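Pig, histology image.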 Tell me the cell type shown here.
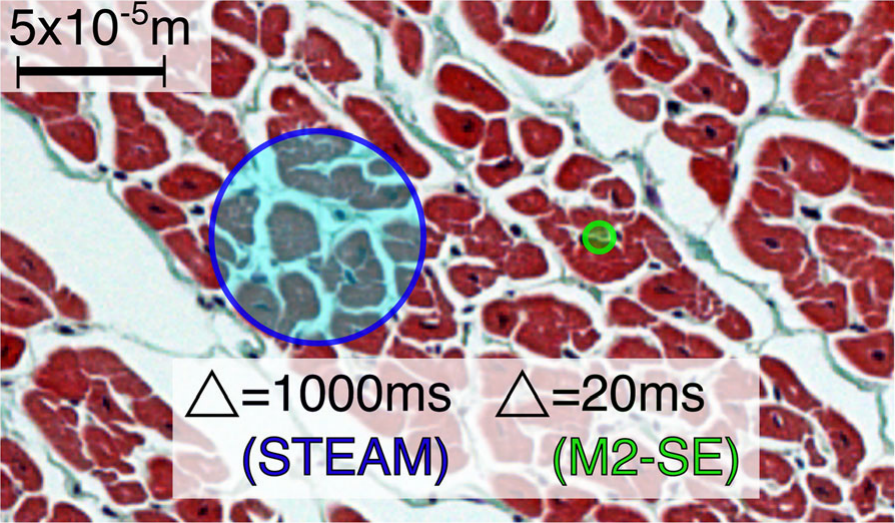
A: myocyte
